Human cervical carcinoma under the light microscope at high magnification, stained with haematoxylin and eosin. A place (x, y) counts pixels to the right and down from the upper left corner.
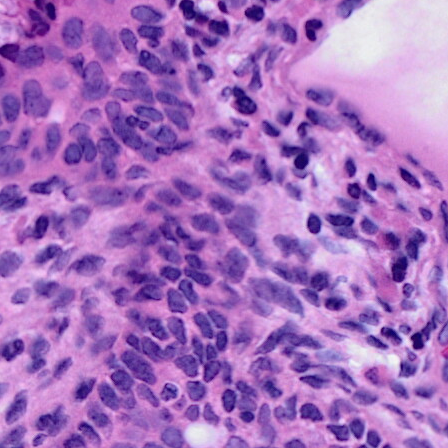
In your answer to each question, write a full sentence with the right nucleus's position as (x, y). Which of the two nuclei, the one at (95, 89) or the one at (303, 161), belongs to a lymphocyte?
Among the two, the nucleus at (303, 161) is the nucleus of a lymphocyte.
